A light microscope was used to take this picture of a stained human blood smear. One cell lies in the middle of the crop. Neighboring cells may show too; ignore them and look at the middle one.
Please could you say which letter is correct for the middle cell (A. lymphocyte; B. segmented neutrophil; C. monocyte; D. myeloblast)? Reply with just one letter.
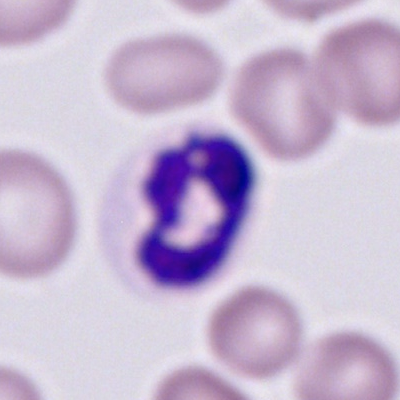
B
